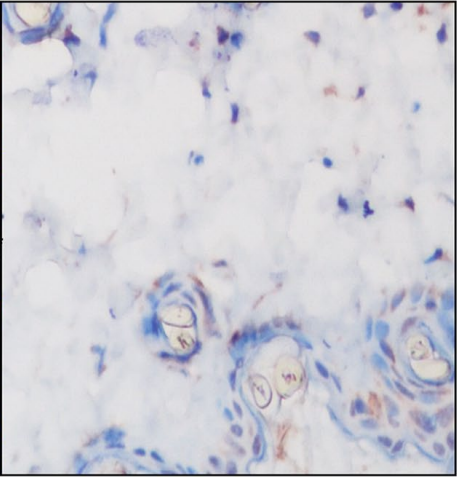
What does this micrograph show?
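Pale, largely empty-looking fatty tissue fills most of the field, with cross-sectioned hair follicles along the bottom edge containing hair shafts and rimmed by blue-stained epithelial cells. Scattered small cells with dark blue nuclei lie among the fat, and brown staining is sparse and faint.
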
